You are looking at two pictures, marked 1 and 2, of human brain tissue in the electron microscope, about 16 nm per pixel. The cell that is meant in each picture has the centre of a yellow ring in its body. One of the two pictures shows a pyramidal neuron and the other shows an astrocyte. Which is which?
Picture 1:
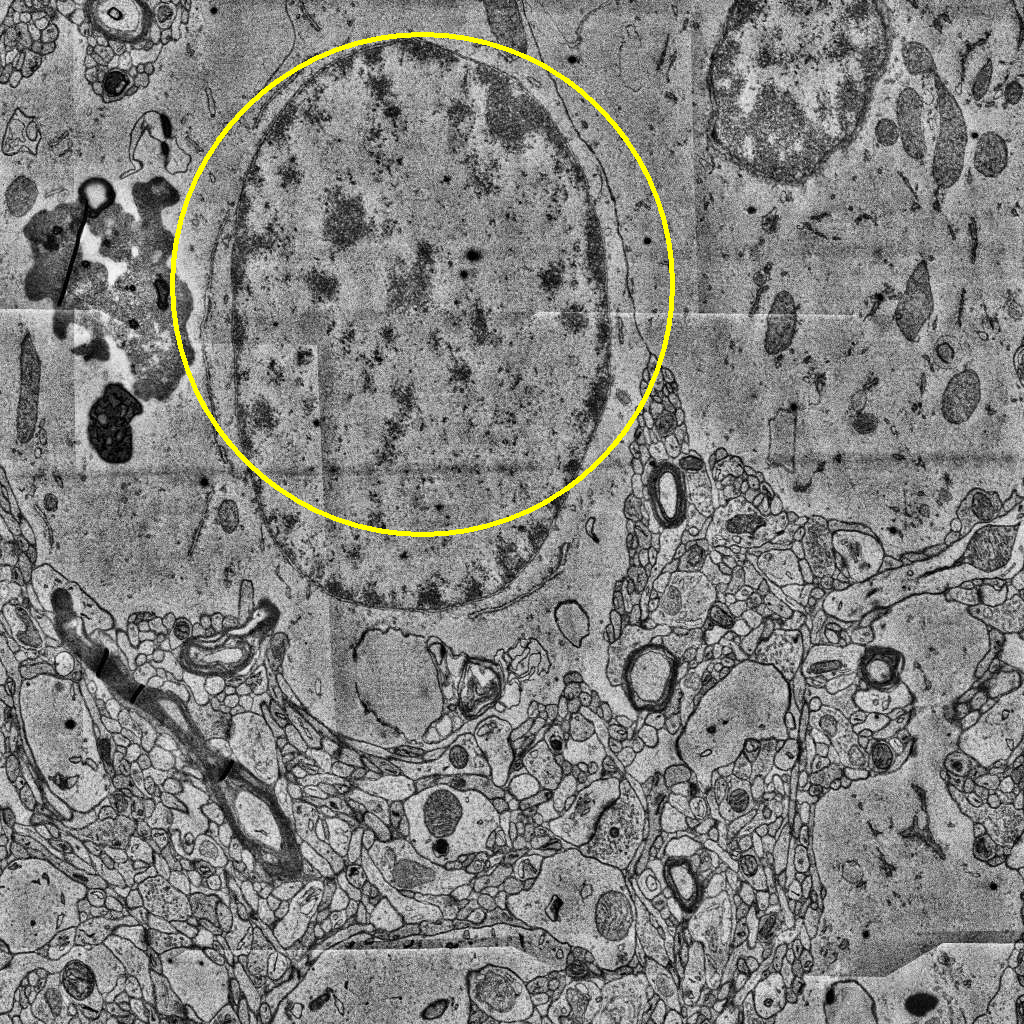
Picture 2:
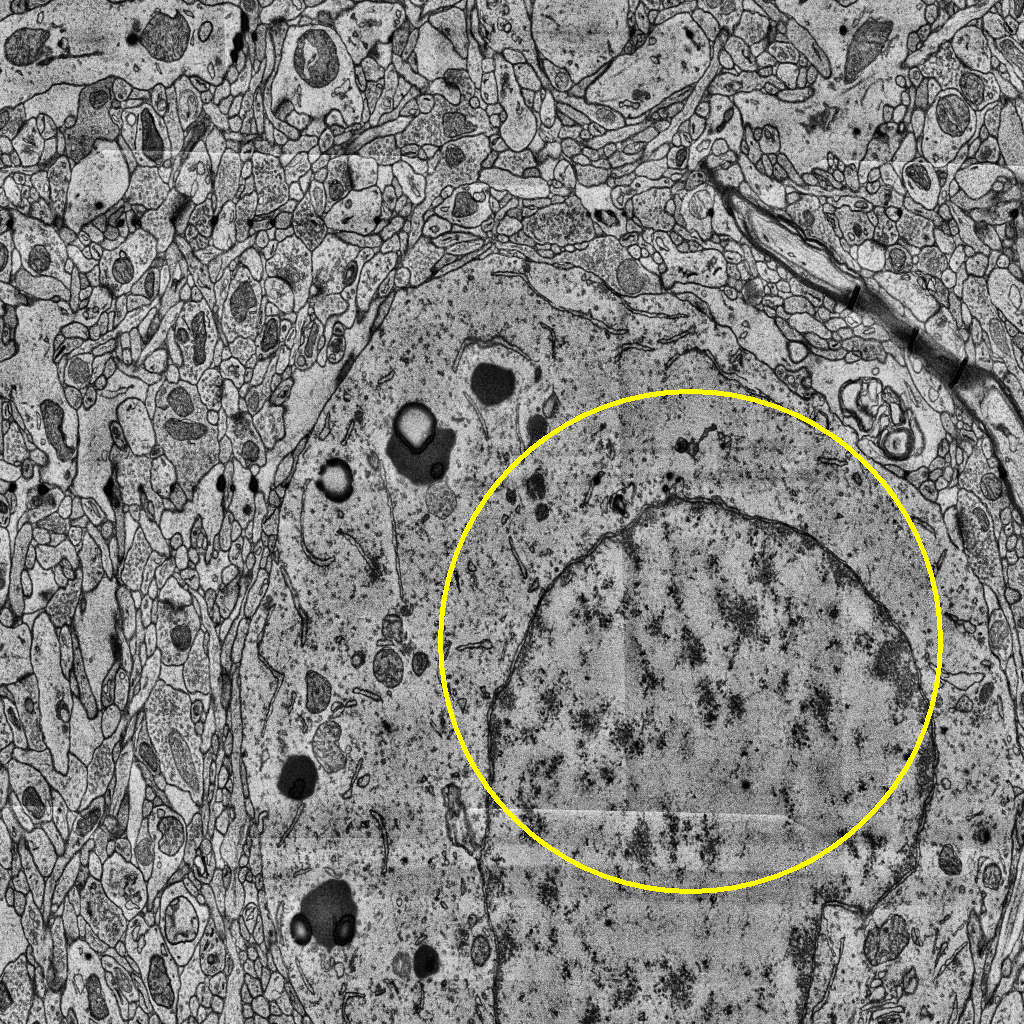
Picture 1 shows an astrocyte and picture 2 shows a pyramidal neuron.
